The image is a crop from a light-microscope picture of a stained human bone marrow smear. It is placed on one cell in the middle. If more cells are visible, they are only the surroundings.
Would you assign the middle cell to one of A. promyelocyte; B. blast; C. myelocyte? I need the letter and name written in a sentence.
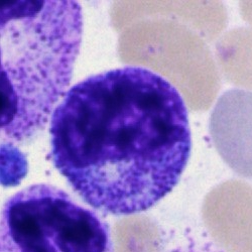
Occupying the middle of the crop is a myelocyte, hence option C is correct.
